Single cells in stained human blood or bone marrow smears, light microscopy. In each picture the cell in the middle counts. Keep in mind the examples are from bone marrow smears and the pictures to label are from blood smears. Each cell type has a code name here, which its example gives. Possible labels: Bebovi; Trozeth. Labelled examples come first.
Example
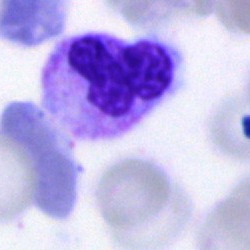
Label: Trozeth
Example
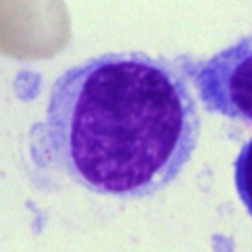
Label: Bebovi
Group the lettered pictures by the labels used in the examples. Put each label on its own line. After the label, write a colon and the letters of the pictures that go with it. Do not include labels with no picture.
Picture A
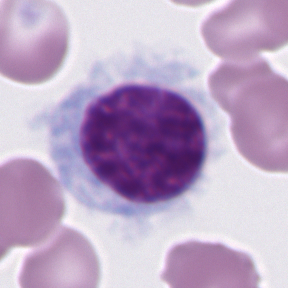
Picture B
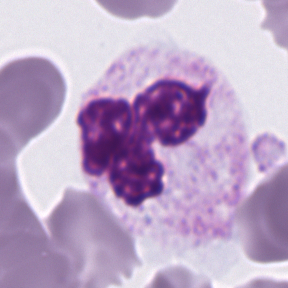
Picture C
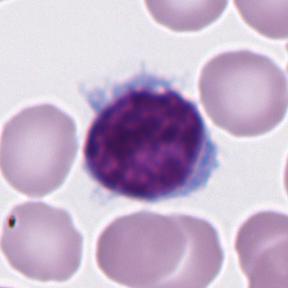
Bebovi: A, C
Trozeth: B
